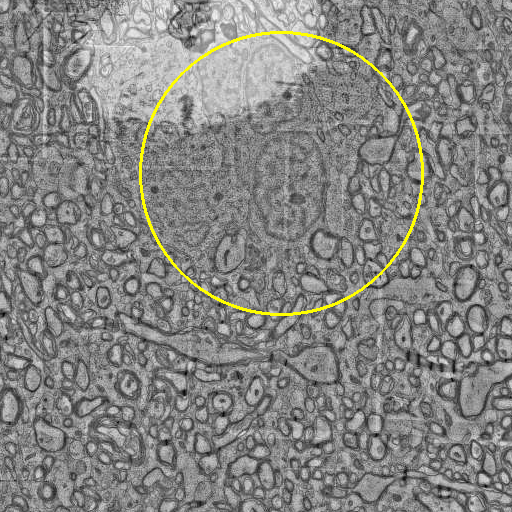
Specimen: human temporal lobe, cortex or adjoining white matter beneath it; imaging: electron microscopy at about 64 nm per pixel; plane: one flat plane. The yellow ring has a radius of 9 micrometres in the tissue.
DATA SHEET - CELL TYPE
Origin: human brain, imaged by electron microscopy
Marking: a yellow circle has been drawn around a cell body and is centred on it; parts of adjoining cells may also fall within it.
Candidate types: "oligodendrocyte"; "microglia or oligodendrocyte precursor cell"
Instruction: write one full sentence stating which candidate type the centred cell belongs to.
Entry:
The cell body at the centre of the yellow ring in this micrograph belongs to an oligodendrocyte.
